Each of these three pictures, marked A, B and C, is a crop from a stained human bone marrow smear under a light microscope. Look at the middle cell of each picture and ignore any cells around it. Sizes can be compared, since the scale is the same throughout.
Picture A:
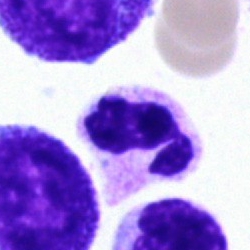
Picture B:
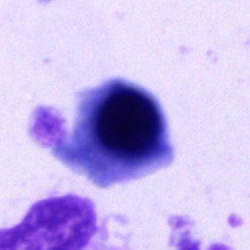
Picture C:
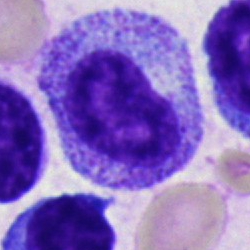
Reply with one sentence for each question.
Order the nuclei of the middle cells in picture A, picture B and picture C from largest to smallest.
Largest first: C, A, B.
